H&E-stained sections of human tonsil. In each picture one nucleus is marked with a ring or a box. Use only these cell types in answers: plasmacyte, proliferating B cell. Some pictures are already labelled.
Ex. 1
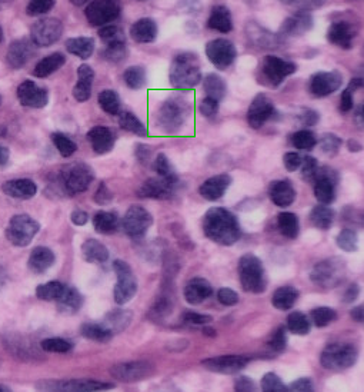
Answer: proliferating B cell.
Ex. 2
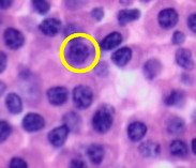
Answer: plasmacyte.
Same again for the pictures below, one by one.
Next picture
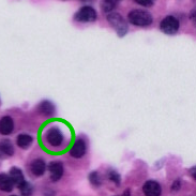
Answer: plasmacyte.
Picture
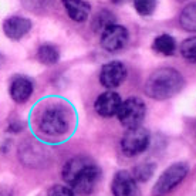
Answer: plasmacyte.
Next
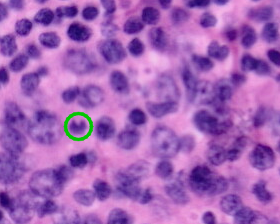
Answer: proliferating B cell.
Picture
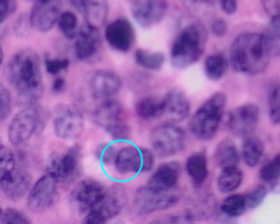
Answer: proliferating B cell.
